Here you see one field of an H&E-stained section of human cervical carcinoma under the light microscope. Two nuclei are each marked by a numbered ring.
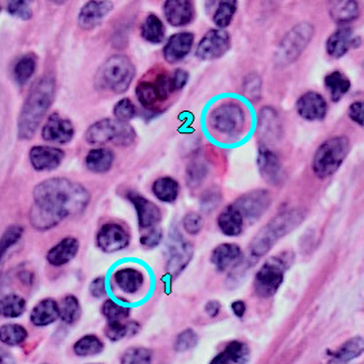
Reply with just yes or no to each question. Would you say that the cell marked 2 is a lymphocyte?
no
